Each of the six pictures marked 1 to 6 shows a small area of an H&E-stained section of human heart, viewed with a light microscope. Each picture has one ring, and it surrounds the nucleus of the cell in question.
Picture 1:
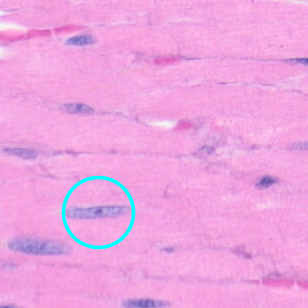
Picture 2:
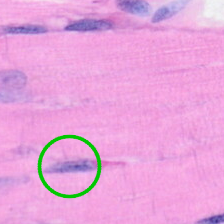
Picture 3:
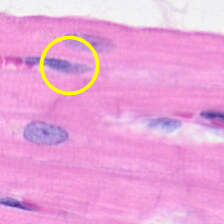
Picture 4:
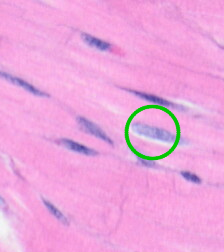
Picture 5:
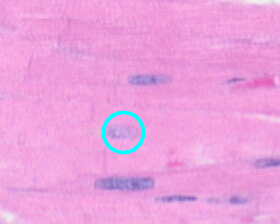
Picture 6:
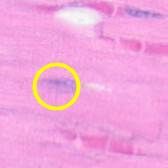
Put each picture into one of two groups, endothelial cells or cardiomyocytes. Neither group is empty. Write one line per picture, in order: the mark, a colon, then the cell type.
1: cardiomyocyte
2: endothelial cell
3: endothelial cell
4: cardiomyocyte
5: cardiomyocyte
6: cardiomyocyte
